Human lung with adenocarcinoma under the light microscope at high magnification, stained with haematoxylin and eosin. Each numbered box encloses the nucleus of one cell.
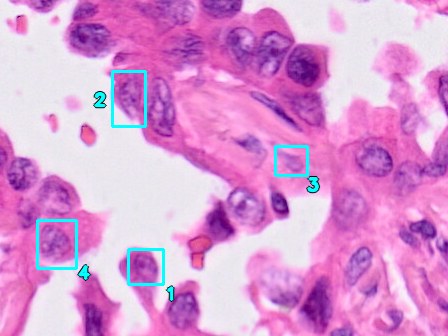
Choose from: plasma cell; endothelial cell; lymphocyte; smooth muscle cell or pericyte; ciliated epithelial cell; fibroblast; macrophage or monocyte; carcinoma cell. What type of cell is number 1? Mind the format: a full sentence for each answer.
The cell that bears the number 1 is a carcinoma cell.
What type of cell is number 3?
Nucleus 3 in this section belongs to a fibroblast.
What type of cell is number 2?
Cell 2 should be recorded as a carcinoma cell.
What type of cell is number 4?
The nucleus labelled 4 belongs to a carcinoma cell.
